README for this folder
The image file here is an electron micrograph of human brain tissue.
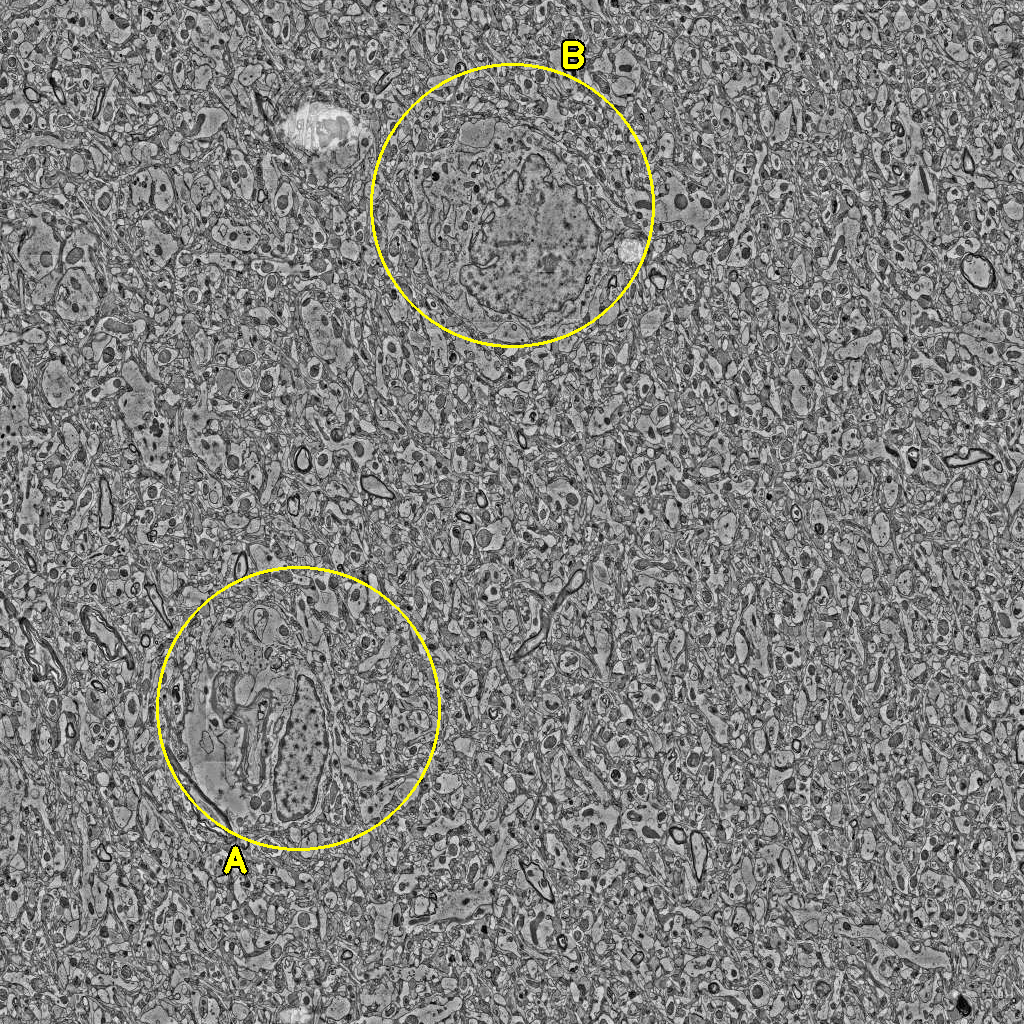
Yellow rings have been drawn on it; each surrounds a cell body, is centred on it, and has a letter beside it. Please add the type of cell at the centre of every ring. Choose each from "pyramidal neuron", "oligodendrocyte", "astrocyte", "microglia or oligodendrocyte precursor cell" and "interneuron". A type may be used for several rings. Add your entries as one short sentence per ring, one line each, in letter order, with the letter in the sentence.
Ring A marks the cell body of a microglial cell or oligodendrocyte precursor cell.
Ring B marks the cell body of an interneuron.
